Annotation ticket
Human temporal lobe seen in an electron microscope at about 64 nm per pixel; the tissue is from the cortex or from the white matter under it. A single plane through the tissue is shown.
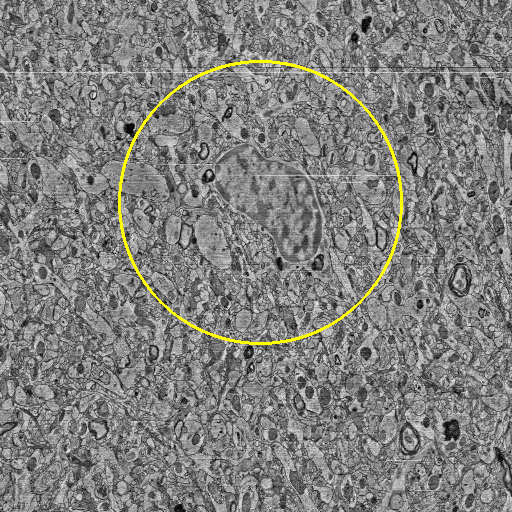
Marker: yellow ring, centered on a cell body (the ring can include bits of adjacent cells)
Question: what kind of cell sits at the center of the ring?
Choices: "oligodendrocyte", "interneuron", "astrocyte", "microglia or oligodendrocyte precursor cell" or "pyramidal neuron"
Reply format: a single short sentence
The ring is centered on a microglial cell or oligodendrocyte precursor cell.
